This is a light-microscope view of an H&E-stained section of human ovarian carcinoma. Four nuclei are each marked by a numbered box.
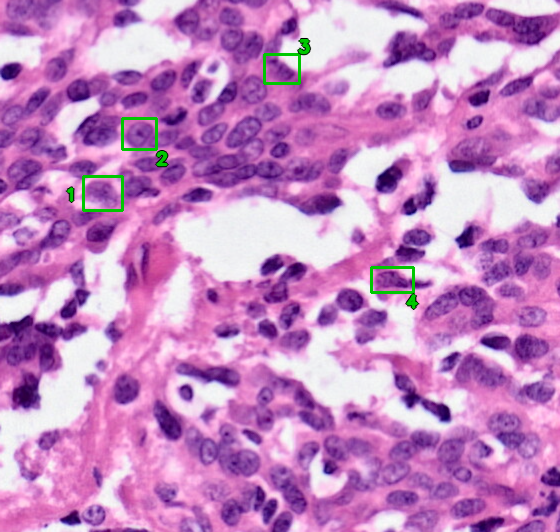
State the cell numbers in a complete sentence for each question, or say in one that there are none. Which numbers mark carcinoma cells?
In this section, the cells labelled 1, 2 and 3 are carcinoma cells.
